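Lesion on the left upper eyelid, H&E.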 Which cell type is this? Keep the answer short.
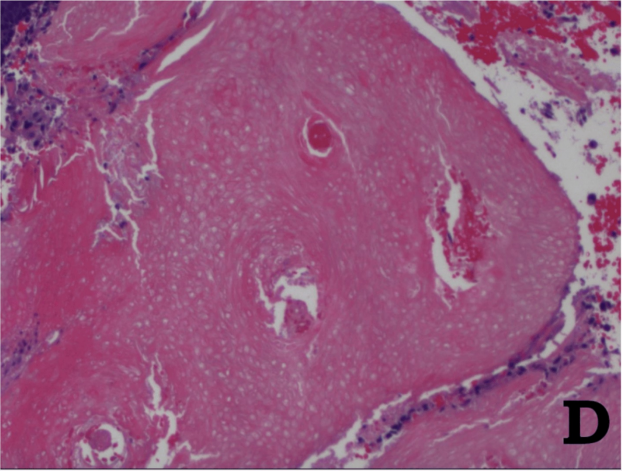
Shadow/ghost cells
